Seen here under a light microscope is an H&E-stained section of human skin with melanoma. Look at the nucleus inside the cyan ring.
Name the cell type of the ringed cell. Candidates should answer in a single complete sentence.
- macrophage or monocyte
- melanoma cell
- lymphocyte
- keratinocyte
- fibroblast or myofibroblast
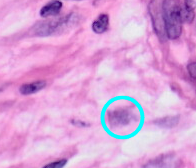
Microscopically, the ringed cell is categorized as a fibroblast or myofibroblast.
